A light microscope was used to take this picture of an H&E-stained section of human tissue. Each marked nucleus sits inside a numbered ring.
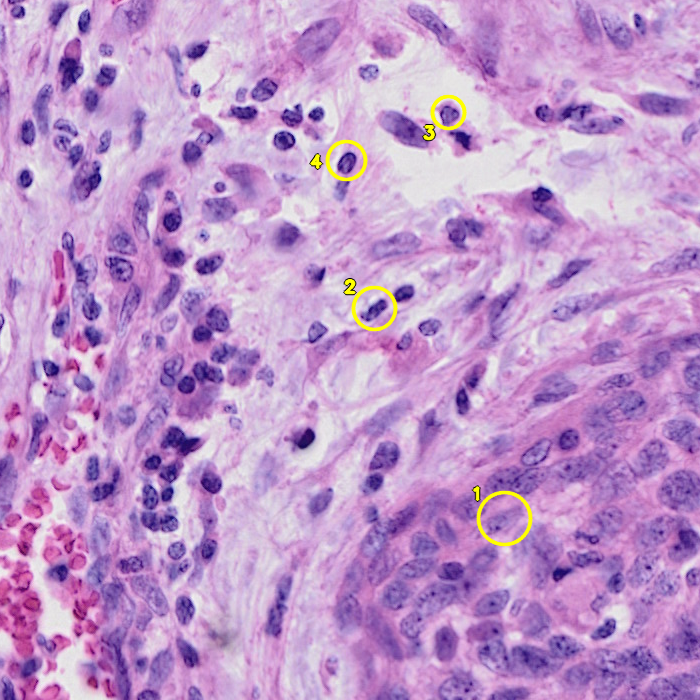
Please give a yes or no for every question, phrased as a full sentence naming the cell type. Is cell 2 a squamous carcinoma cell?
No, cell 2 does not represent a squamous carcinoma cell; it represents a lymphocyte.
